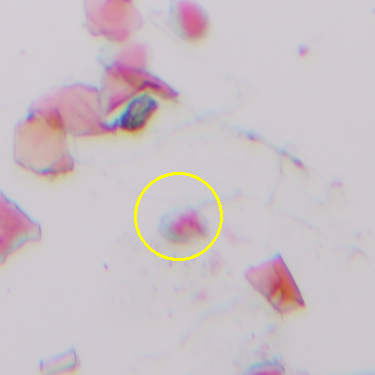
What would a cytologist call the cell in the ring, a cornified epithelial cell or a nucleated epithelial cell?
A cytologist would call it a nucleated epithelial cell.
